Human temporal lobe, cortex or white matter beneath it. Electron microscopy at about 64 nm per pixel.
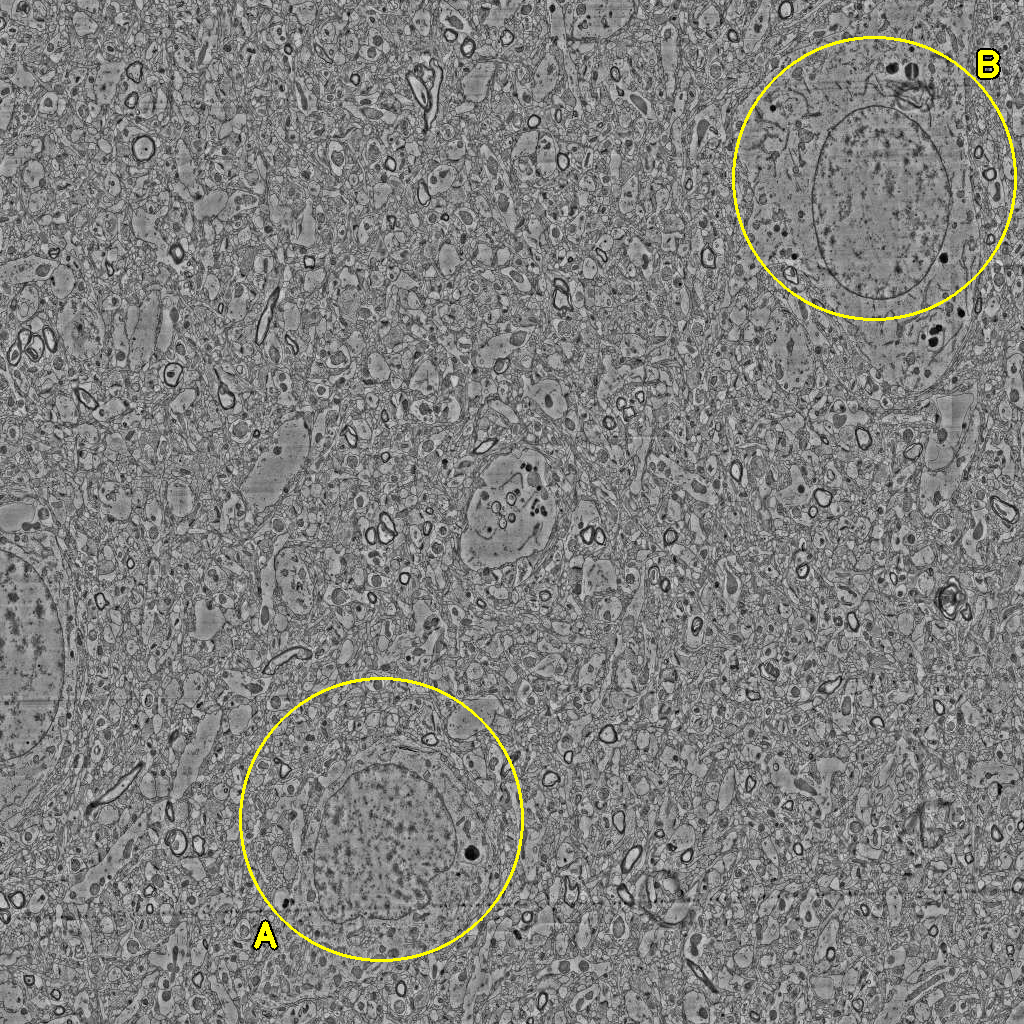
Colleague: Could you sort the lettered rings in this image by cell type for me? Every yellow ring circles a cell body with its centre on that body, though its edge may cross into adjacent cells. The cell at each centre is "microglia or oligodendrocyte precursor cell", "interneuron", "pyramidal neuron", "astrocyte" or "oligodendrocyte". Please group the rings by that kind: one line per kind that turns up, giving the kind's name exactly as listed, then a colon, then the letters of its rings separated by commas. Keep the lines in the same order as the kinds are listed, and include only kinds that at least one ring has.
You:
interneuron: A
pyramidal neuron: B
